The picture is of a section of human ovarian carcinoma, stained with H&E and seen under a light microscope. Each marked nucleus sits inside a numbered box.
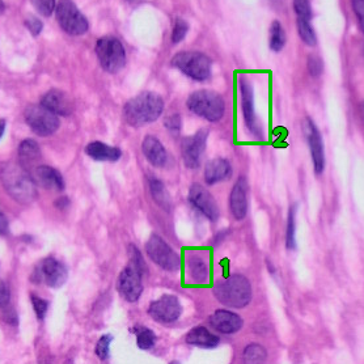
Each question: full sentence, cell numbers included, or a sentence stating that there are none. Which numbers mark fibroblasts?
Of the cells bearing numbers, the only one that is a fibroblast is cell 2.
